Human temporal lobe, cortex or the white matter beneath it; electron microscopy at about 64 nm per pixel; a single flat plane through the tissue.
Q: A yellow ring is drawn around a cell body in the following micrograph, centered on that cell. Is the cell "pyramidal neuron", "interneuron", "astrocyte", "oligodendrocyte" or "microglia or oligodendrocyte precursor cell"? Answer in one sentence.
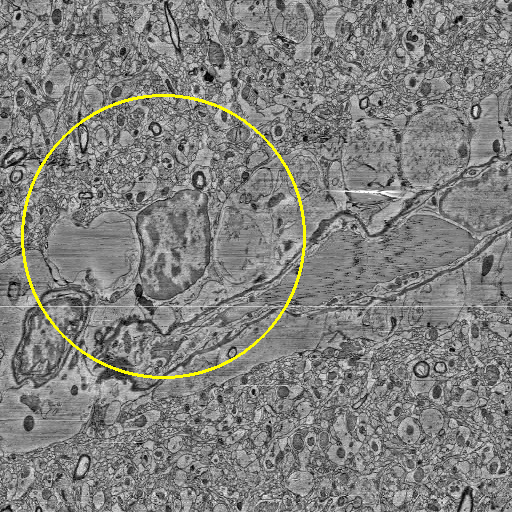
The cell in the center of the ring is a microglial cell or oligodendrocyte precursor cell.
